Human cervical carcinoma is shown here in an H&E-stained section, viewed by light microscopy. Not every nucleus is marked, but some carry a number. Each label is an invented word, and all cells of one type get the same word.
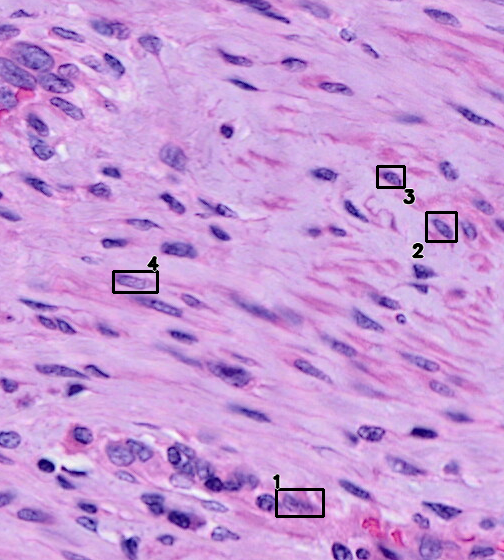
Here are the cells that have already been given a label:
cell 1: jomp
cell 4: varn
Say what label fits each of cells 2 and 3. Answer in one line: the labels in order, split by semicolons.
varn; varn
